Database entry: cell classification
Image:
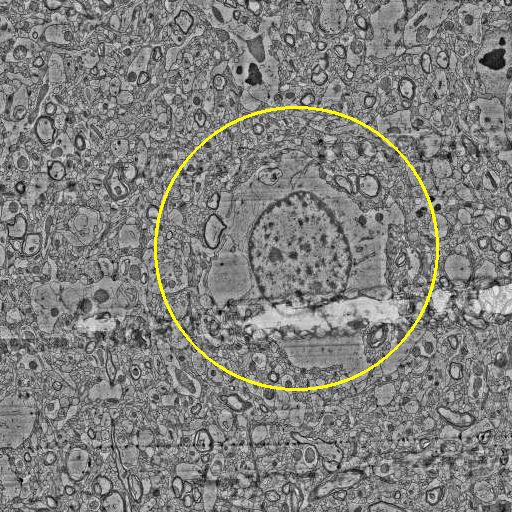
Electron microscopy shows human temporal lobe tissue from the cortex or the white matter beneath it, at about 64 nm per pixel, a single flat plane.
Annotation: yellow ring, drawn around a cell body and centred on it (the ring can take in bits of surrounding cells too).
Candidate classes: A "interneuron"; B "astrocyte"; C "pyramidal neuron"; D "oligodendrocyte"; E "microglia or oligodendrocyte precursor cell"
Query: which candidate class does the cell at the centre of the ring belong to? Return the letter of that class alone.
B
